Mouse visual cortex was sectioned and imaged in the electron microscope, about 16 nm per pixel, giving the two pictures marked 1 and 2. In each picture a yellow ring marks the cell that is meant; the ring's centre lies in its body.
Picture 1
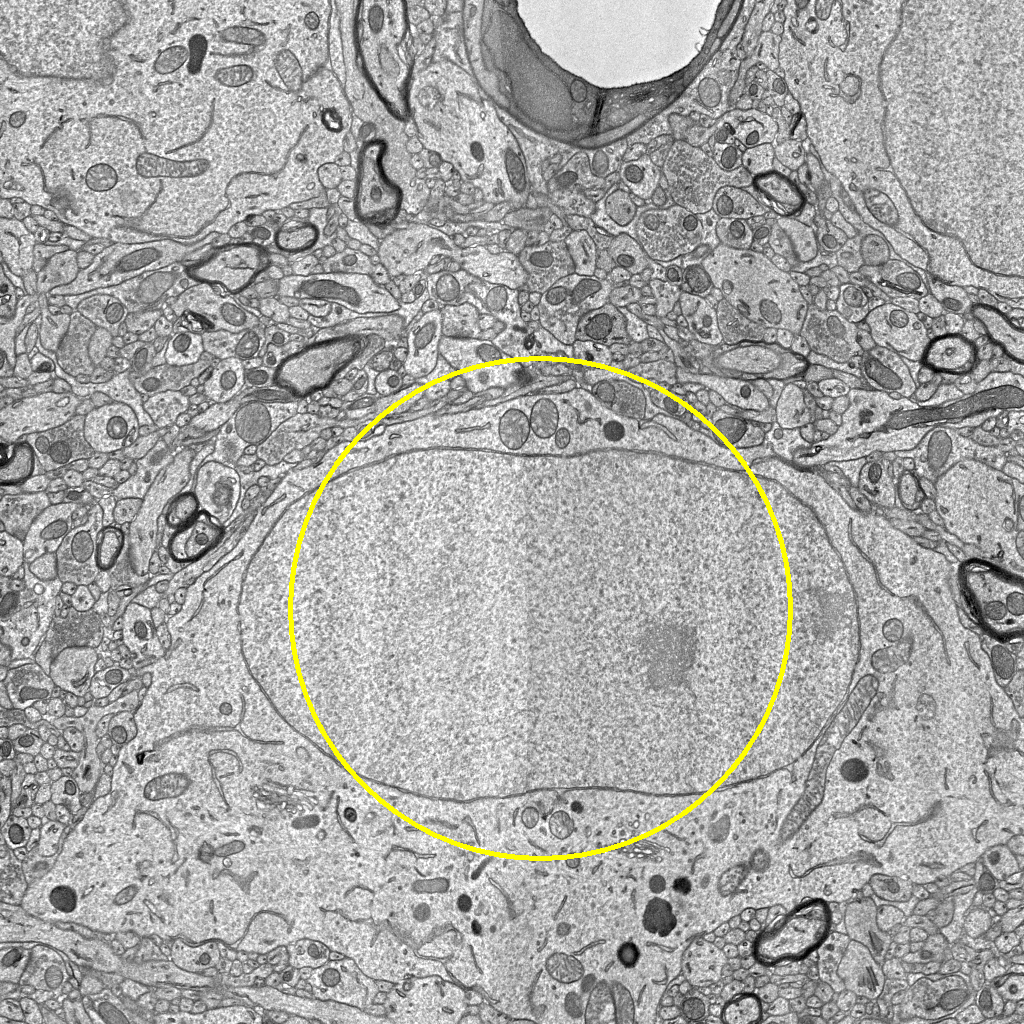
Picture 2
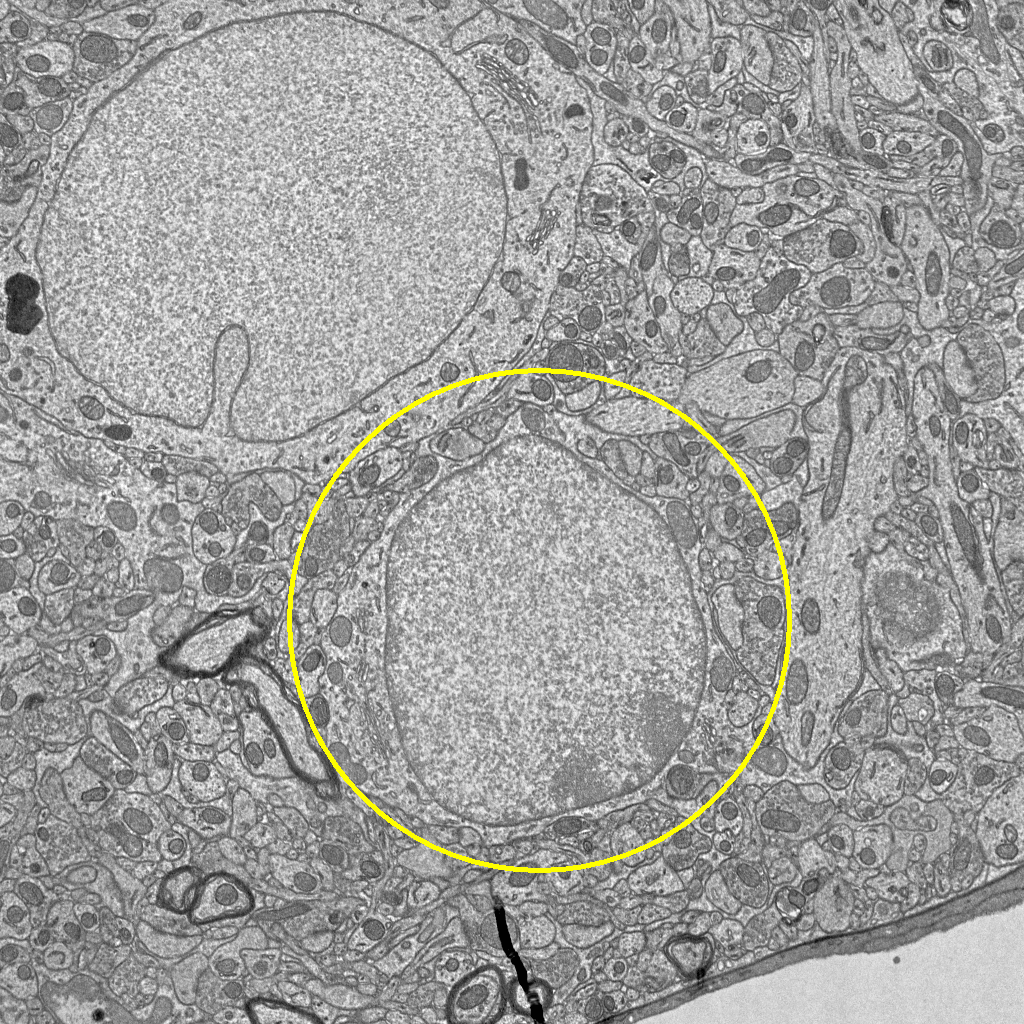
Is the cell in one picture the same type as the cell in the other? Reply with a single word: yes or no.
no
